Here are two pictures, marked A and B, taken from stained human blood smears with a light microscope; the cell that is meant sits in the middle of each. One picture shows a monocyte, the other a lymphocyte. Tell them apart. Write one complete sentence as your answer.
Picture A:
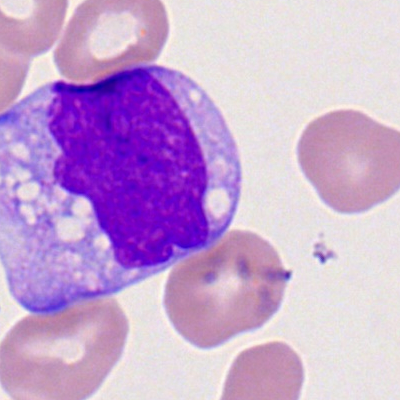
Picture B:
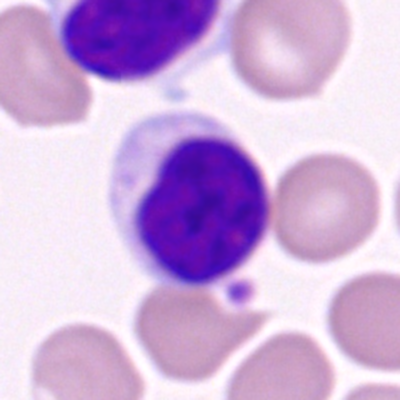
It is picture A that shows a monocyte, and picture B that shows a lymphocyte.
